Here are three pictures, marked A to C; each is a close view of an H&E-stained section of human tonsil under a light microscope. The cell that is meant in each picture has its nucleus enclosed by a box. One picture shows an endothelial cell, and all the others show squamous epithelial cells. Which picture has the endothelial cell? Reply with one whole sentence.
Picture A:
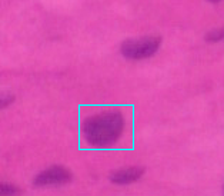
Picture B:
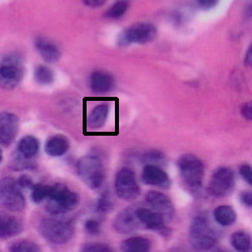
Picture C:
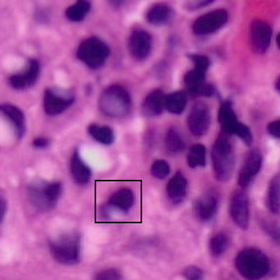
Picture B is the one that shows the endothelial cell.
